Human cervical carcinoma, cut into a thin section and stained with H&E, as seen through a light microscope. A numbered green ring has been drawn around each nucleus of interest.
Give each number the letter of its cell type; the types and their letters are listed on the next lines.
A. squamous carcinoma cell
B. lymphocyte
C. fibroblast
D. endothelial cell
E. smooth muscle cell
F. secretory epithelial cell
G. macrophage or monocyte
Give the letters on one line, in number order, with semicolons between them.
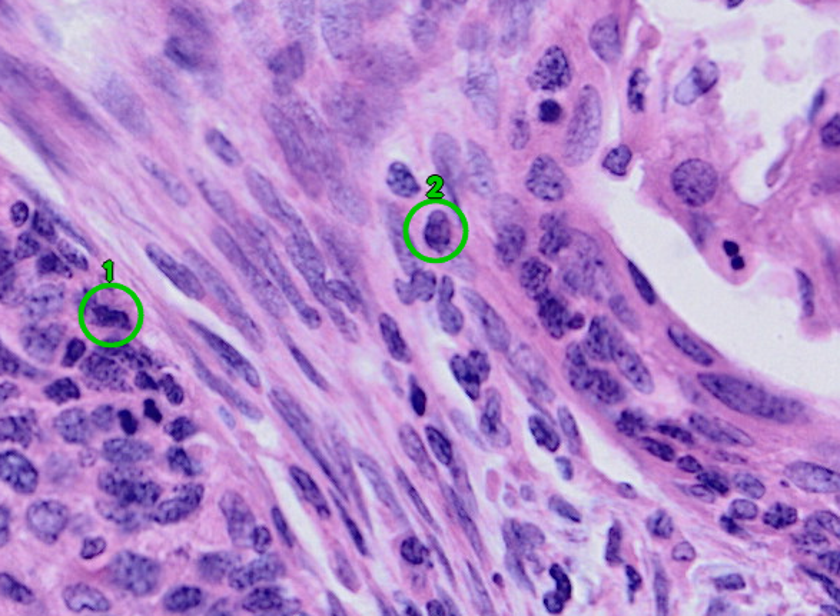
A; B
